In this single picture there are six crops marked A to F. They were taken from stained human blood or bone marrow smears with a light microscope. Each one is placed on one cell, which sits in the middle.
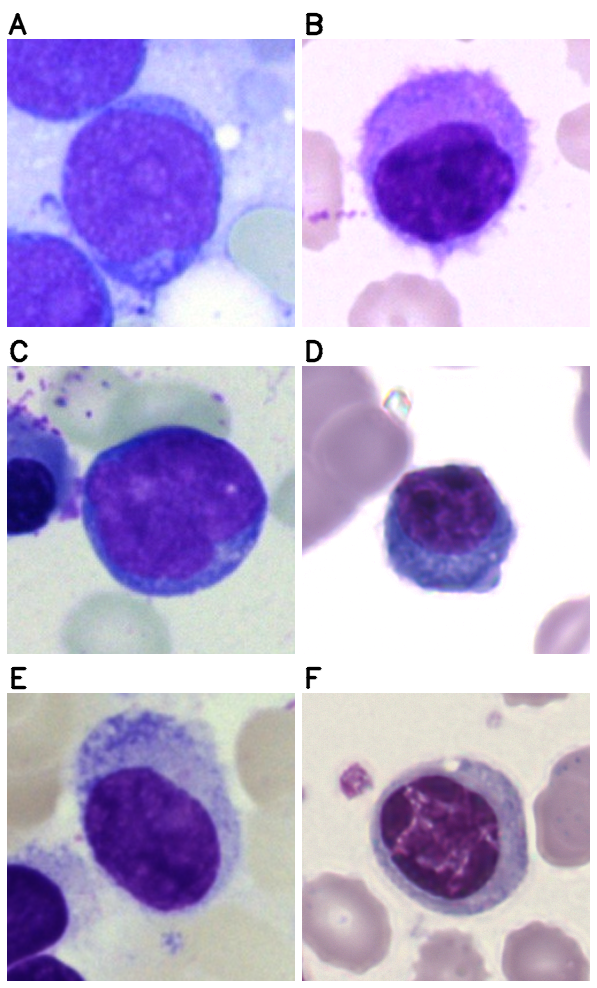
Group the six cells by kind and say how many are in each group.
blast: 2
hairy cell: 2
plasma cell: 2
